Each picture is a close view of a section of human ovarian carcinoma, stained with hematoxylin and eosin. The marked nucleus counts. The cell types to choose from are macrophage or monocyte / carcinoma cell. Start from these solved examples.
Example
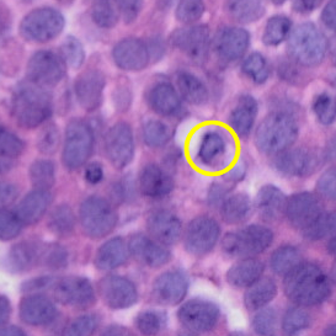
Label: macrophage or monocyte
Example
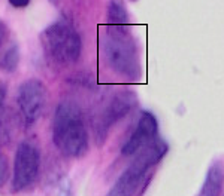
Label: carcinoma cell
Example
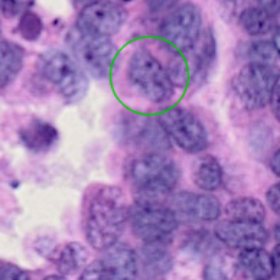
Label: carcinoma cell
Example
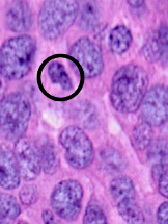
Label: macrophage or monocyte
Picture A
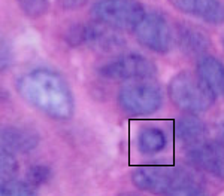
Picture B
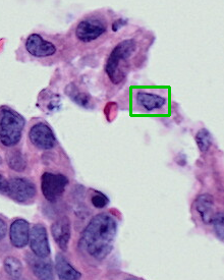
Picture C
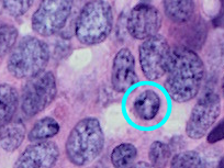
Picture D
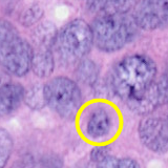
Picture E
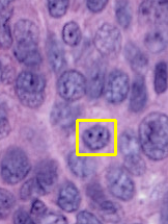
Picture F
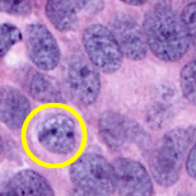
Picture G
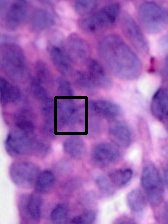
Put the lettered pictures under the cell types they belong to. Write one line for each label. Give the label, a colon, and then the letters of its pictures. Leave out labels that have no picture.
macrophage or monocyte: A, B, C, D, E, F
carcinoma cell: G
